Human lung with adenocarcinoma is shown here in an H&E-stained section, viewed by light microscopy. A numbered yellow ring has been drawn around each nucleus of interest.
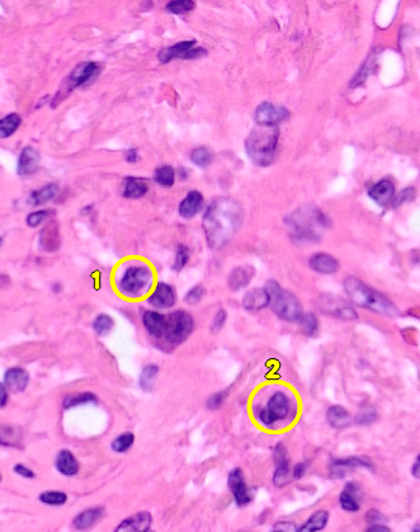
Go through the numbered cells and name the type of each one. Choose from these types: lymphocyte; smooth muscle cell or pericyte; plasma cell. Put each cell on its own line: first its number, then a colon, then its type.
1: lymphocyte
2: plasma cell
